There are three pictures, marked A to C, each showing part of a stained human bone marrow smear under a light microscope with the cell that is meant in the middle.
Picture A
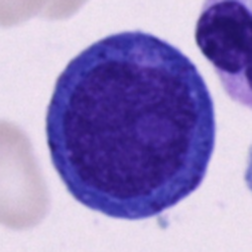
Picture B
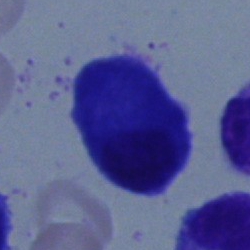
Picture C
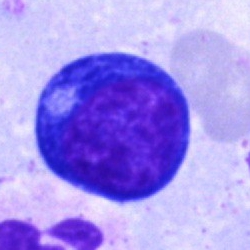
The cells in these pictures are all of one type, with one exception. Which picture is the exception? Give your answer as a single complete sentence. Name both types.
Unlike the rest, which show proerythroblasts, picture B shows a plasma cell.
